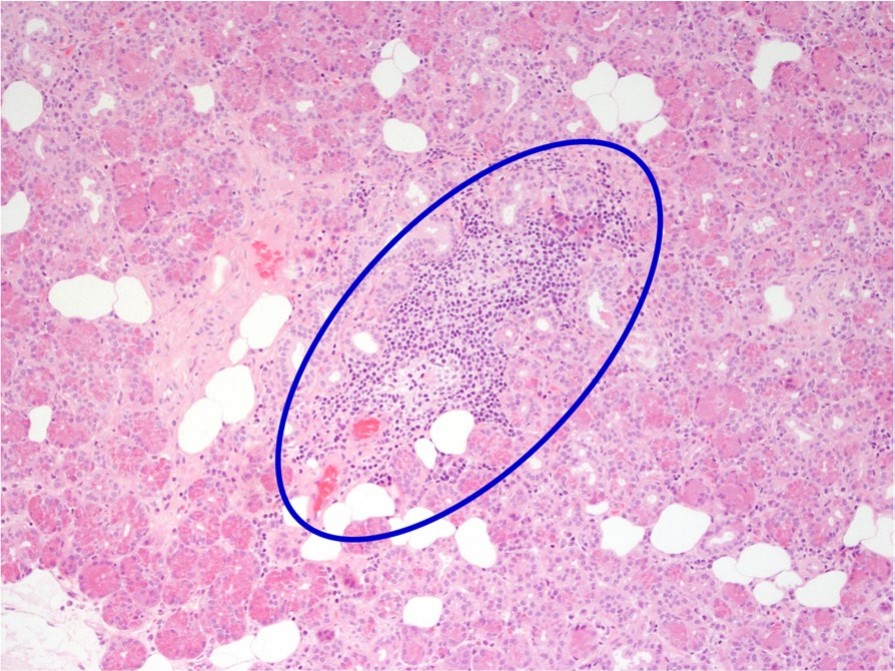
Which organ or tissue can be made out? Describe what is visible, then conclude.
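Most of the field is made of rounded acini of pink, granular cells. The acinar nuclei are small, round and sit at the base of the cells. Scattered empty round fat vacuoles lie among the acini.
Conclusion: serous tissue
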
